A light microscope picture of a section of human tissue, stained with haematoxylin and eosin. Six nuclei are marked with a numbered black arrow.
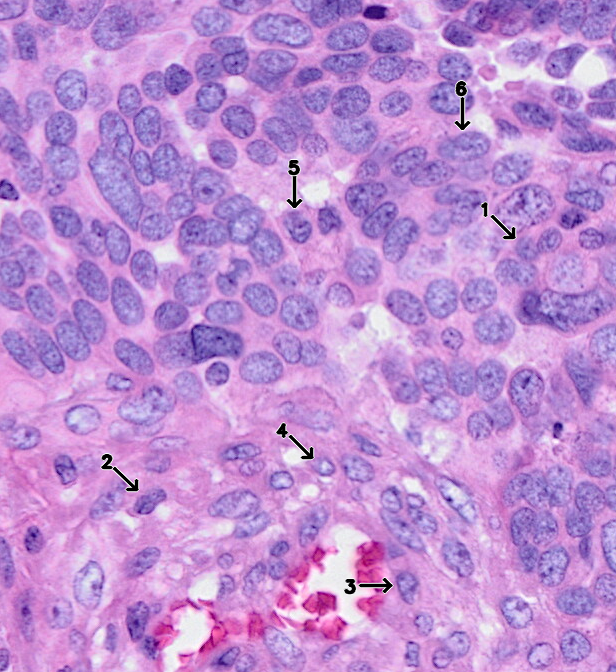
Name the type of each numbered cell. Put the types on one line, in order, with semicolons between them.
carcinoma cell; macrophage or monocyte; endothelial cell; fibroblast; macrophage or monocyte; carcinoma cell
